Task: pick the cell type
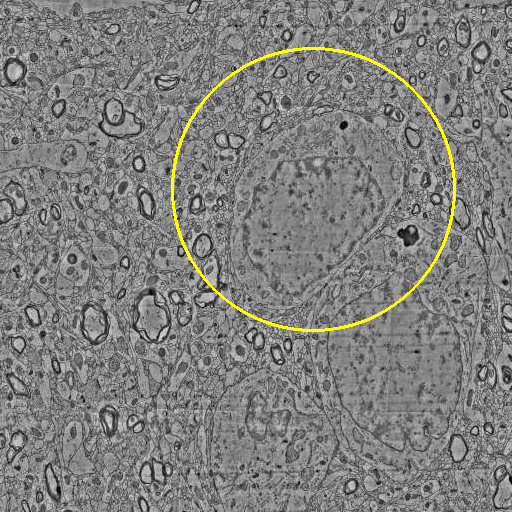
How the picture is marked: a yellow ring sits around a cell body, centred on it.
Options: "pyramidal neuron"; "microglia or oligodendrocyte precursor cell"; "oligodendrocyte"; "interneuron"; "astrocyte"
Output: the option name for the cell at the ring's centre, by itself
interneuron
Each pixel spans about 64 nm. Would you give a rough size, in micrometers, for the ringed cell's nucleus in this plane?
Roughly 10 by 8 micrometres in this plane, for the nucleus of the ringed cell.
